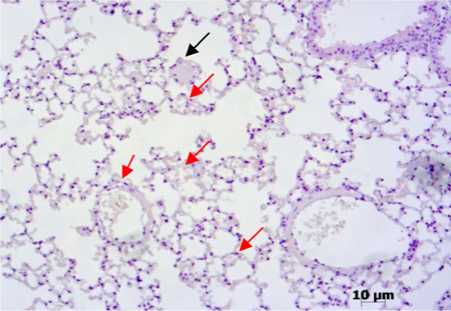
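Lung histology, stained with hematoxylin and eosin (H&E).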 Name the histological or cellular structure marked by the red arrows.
Open vessels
